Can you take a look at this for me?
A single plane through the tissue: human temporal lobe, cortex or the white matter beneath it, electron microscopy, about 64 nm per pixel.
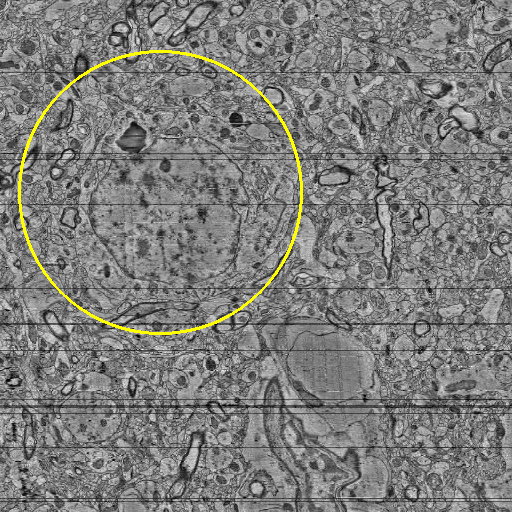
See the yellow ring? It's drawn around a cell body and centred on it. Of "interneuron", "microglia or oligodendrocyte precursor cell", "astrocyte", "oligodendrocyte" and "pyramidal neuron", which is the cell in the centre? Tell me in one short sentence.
The one in the centre is an interneuron.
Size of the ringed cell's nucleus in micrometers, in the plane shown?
Approximately 10 micrometres across, in this plane.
